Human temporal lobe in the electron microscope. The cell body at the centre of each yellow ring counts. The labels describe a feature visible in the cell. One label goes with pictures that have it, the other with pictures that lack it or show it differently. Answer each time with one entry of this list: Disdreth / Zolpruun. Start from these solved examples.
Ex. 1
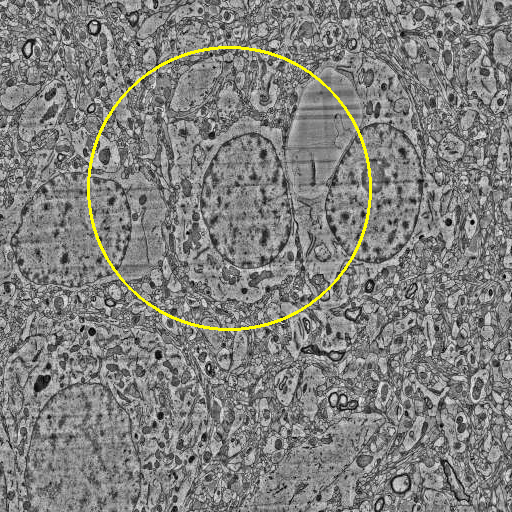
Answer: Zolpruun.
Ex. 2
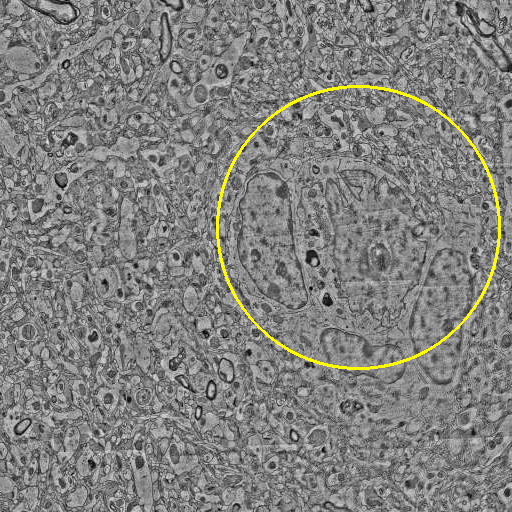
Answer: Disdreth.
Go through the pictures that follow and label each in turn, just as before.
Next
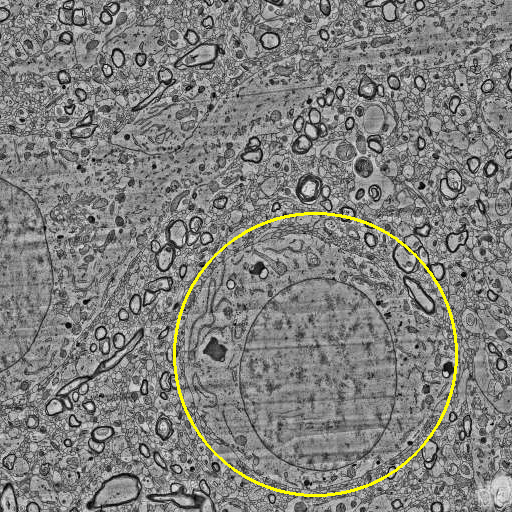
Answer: Zolpruun.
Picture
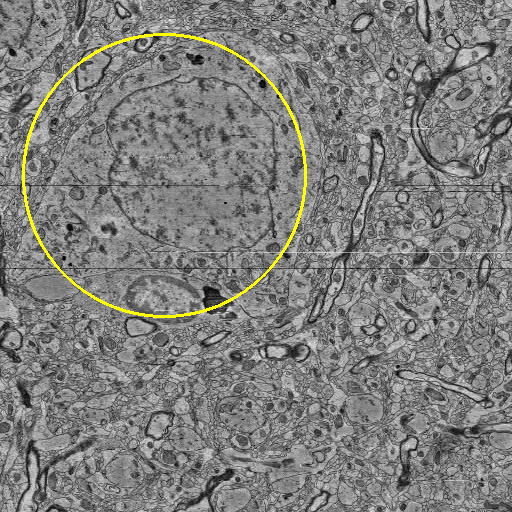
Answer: Zolpruun.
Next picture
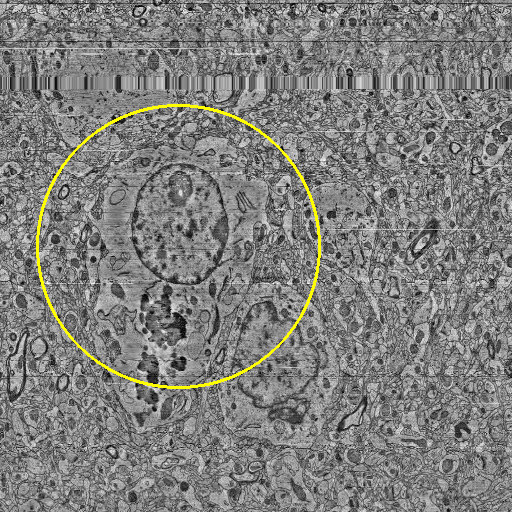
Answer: Disdreth.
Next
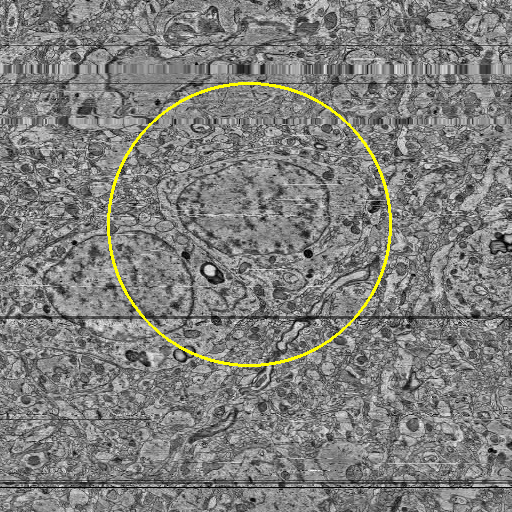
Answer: Zolpruun.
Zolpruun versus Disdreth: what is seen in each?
Seen in Zolpruun: no nucleolus seen; seen in Disdreth: nucleolus seen.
